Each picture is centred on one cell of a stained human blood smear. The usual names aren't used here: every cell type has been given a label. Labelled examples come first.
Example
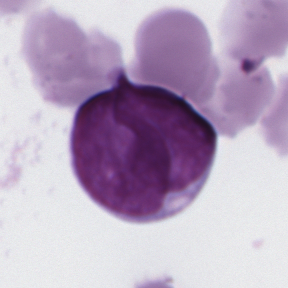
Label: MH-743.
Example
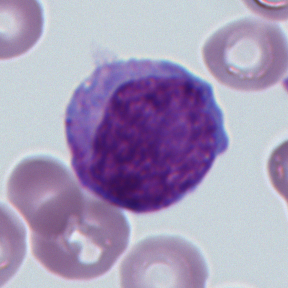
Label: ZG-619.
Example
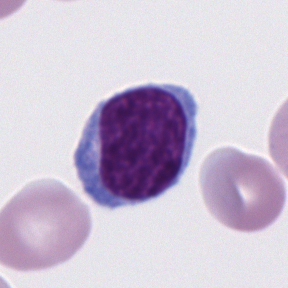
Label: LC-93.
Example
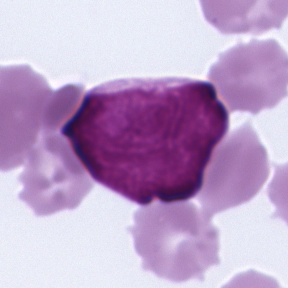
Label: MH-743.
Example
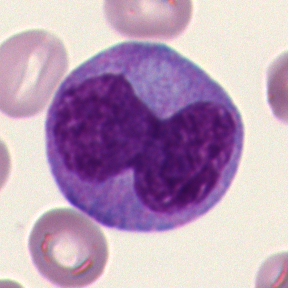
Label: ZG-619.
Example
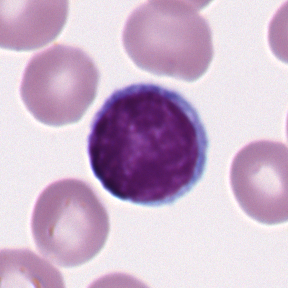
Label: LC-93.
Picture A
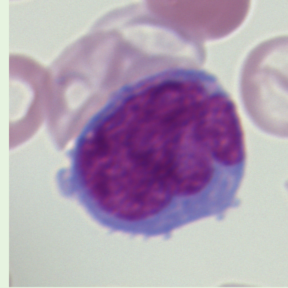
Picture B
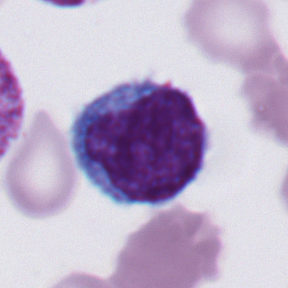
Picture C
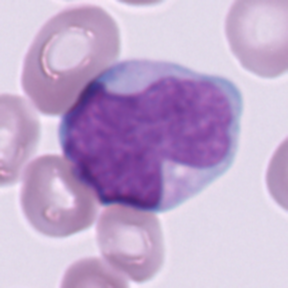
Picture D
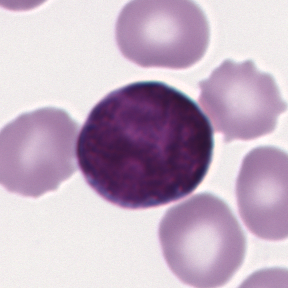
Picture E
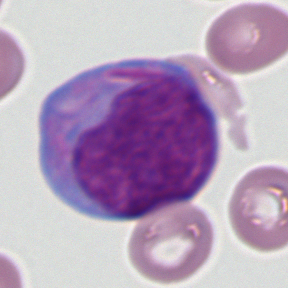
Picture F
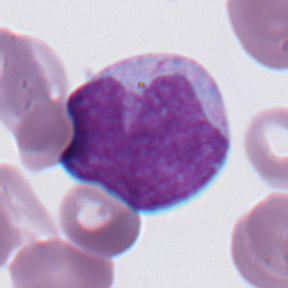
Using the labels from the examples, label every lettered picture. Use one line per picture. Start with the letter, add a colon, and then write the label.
A: MH-743.
B: LC-93.
C: ZG-619.
D: MH-743.
E: ZG-619.
F: ZG-619.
